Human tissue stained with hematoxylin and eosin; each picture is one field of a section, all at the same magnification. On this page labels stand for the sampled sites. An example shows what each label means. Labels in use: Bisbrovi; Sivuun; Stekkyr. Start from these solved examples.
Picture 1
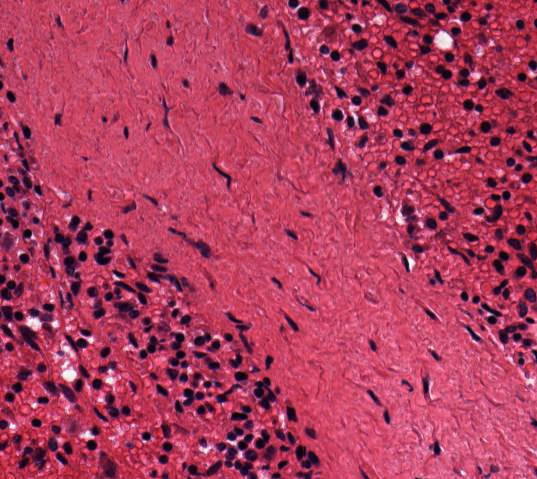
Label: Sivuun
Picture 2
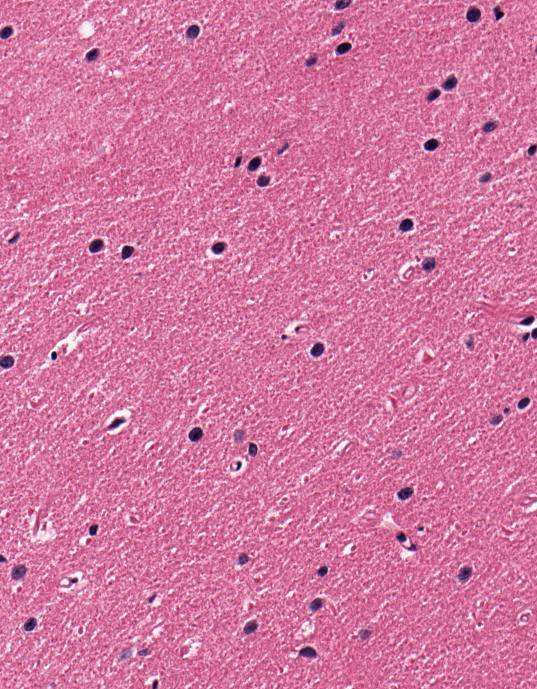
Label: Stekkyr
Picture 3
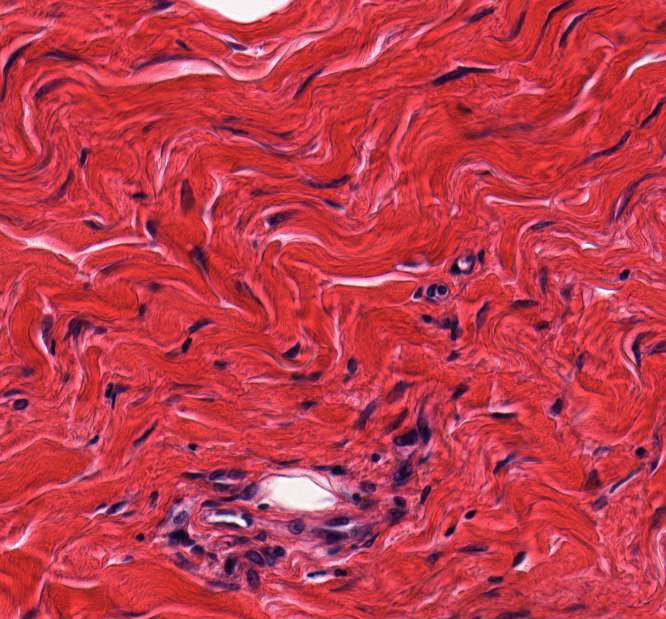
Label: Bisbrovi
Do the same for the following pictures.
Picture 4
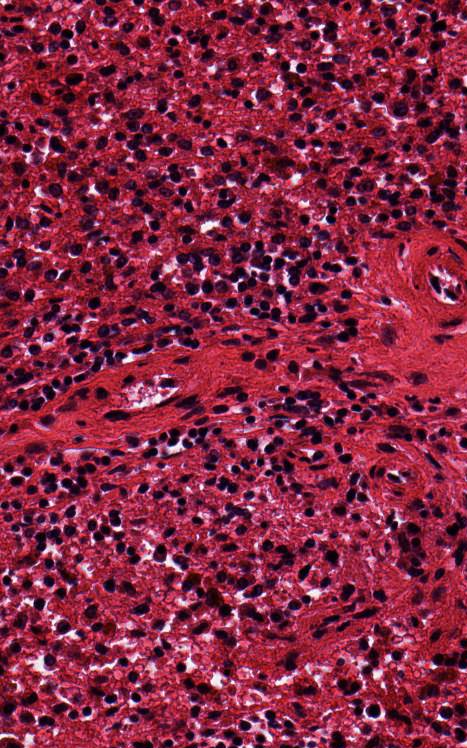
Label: Sivuun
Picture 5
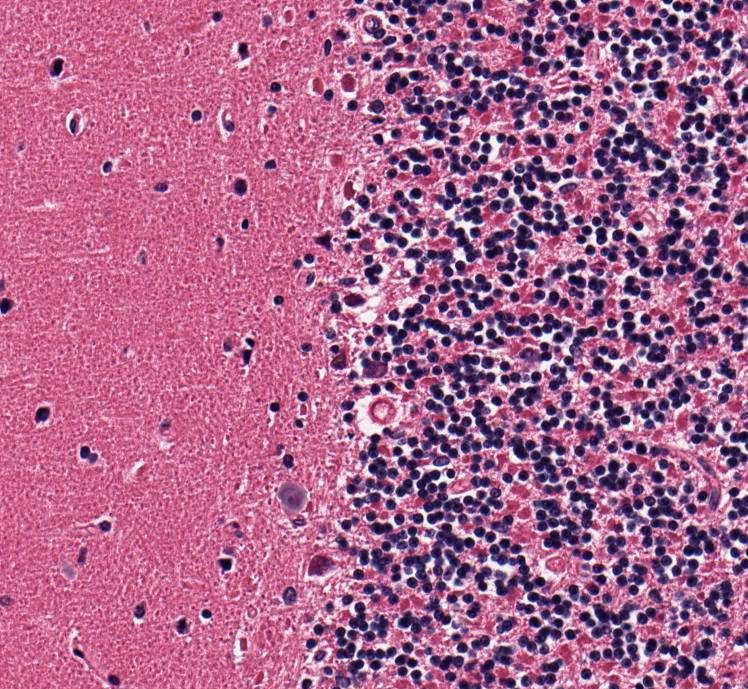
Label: Stekkyr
